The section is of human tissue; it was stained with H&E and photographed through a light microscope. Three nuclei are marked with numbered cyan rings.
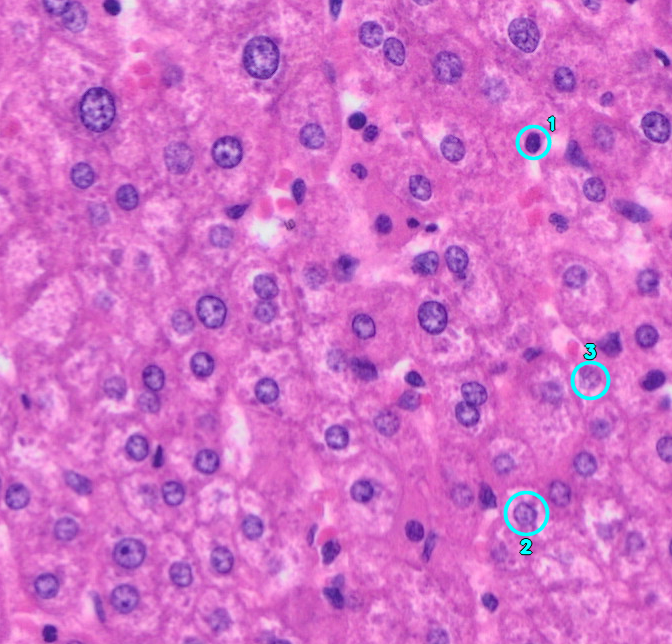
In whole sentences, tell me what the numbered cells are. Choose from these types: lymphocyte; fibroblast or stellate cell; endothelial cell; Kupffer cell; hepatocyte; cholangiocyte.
Cell 1 is a lymphocyte. Cells 2 and 3 are hepatocytes.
